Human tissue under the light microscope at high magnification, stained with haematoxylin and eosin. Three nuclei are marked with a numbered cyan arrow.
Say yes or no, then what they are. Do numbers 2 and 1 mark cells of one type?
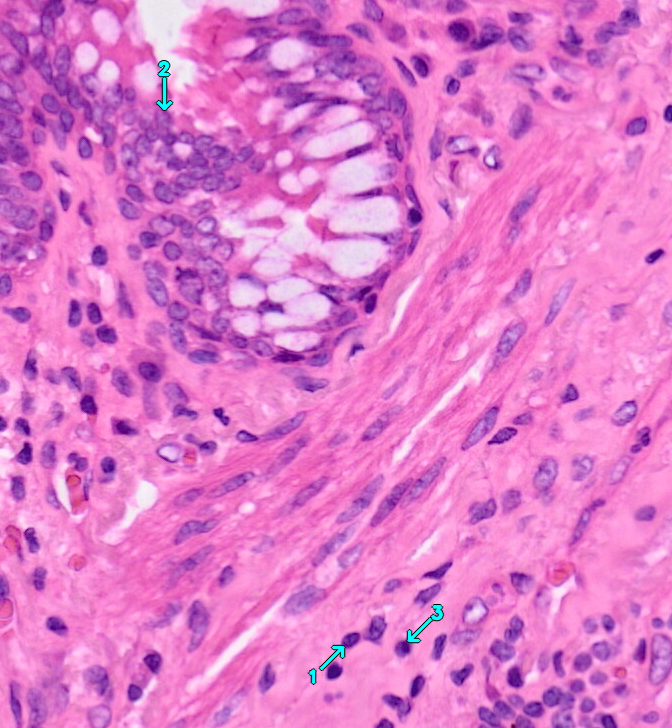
No, cell 2 is a ciliated epithelial cell, and in contrast cell 1 is a lymphocyte.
